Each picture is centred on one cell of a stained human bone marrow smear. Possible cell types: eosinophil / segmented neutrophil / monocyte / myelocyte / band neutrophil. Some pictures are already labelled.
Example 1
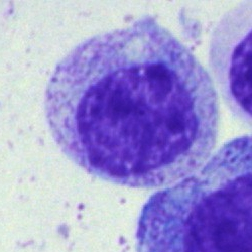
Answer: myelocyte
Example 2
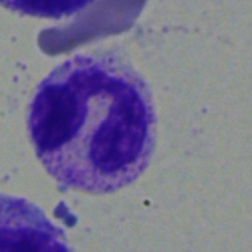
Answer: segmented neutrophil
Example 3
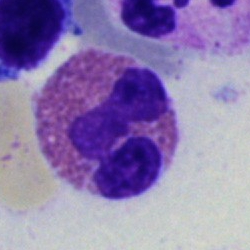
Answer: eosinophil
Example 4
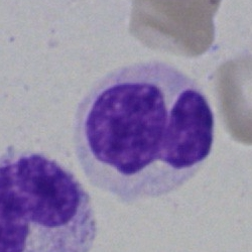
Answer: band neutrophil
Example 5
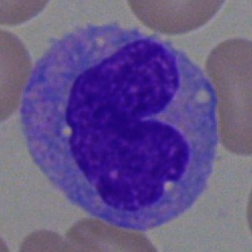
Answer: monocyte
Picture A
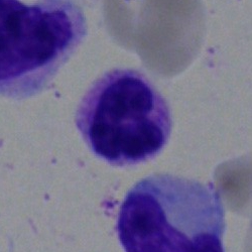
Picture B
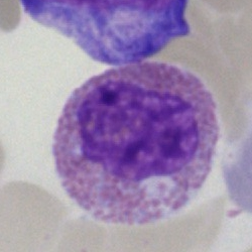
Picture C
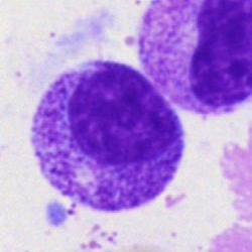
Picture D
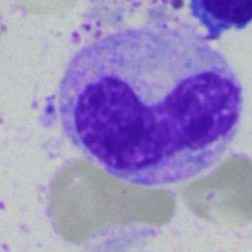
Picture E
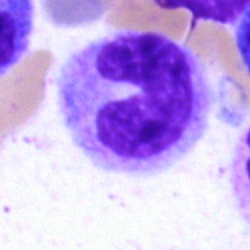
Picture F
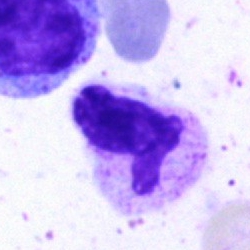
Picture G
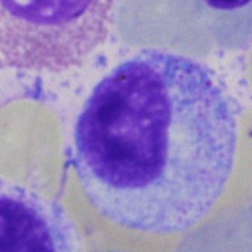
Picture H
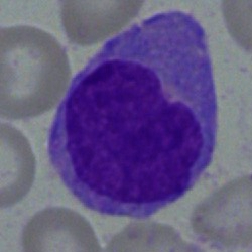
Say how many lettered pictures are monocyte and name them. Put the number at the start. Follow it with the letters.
1: H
